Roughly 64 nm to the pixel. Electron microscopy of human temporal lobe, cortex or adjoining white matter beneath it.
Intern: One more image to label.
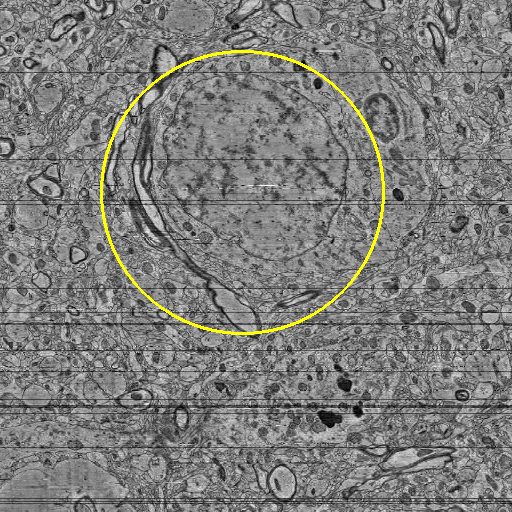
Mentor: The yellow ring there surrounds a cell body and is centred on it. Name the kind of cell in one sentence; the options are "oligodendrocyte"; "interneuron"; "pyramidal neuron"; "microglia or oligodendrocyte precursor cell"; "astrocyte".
The ring marks the cell body of a pyramidal neuron.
